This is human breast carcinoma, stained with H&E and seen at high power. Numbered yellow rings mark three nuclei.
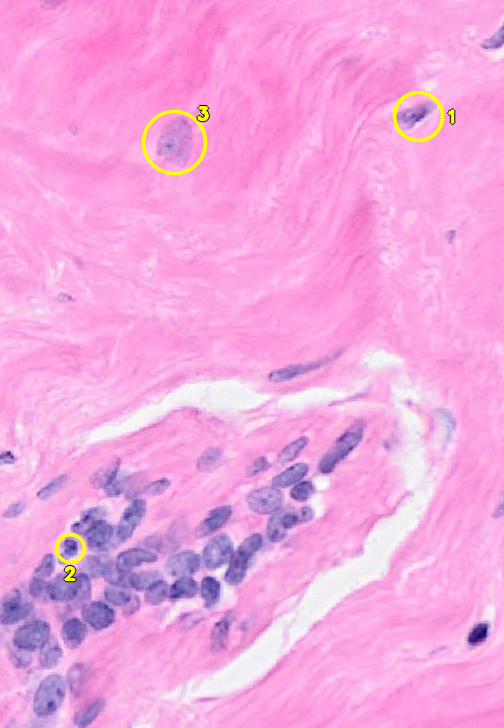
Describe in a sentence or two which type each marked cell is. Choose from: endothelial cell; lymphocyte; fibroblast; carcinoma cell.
Cell 1 is a fibroblast, cell 2 is a lymphocyte and cell 3 is a fibroblast.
